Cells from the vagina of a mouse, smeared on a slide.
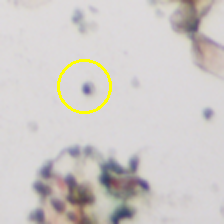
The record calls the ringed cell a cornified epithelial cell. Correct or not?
Not correct; it is a leukocyte.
